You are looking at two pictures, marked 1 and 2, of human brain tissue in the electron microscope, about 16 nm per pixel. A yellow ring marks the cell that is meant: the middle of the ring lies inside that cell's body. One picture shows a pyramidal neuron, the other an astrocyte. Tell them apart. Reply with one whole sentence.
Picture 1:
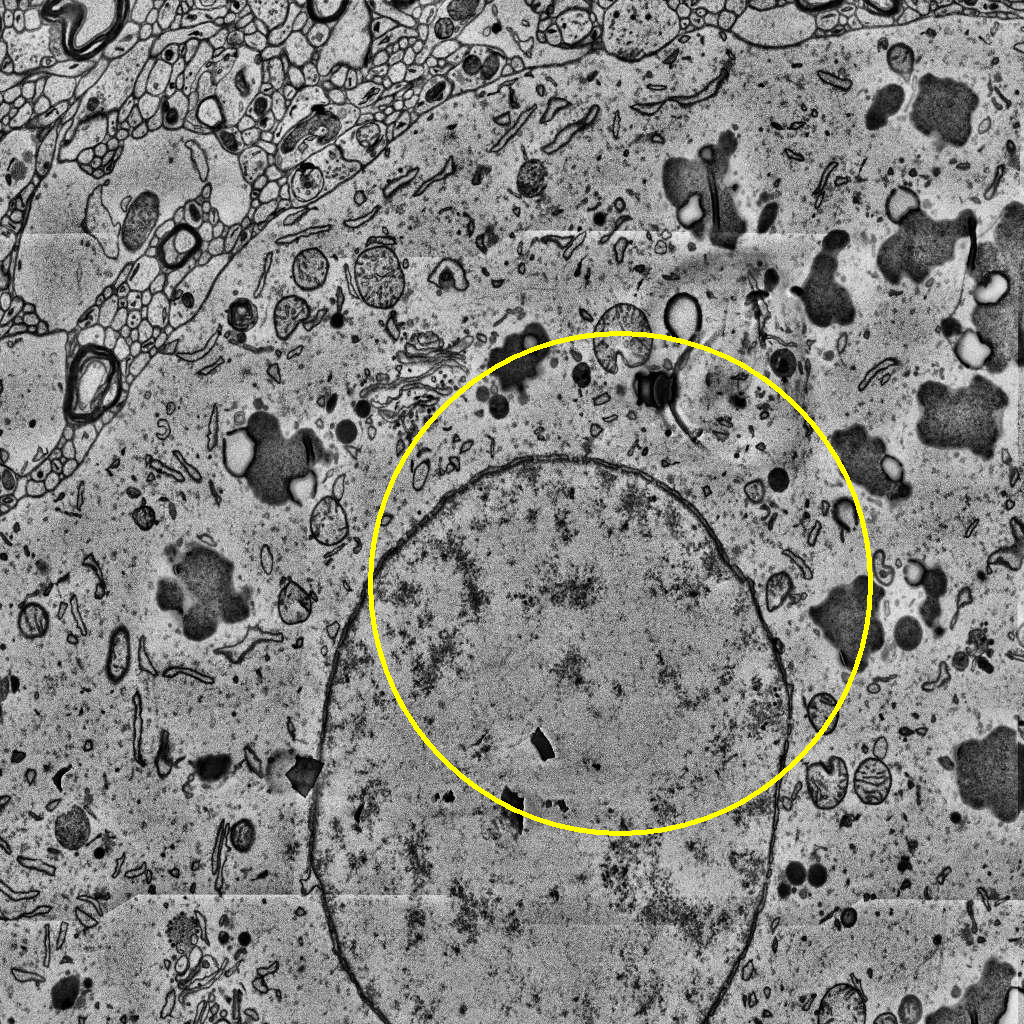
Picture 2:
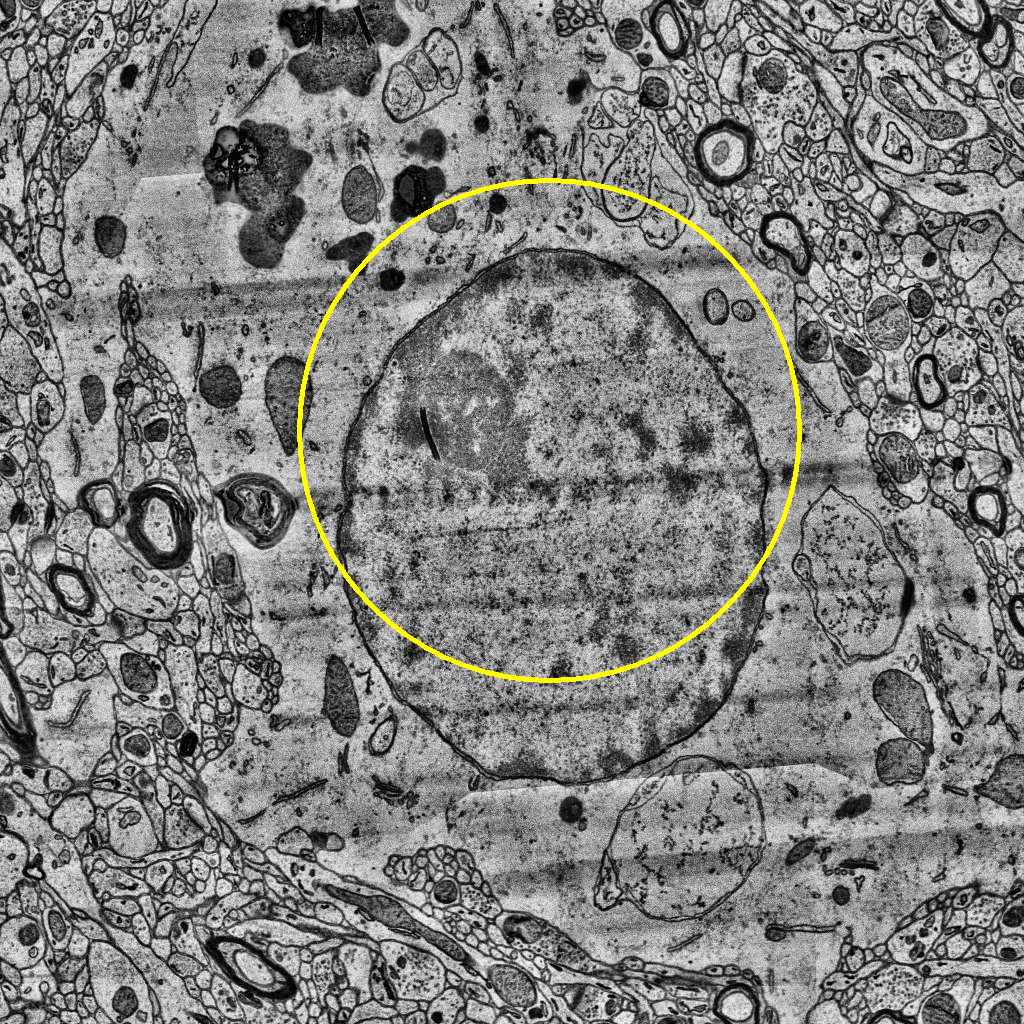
Picture 1 is of a pyramidal neuron, and picture 2 is of an astrocyte.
